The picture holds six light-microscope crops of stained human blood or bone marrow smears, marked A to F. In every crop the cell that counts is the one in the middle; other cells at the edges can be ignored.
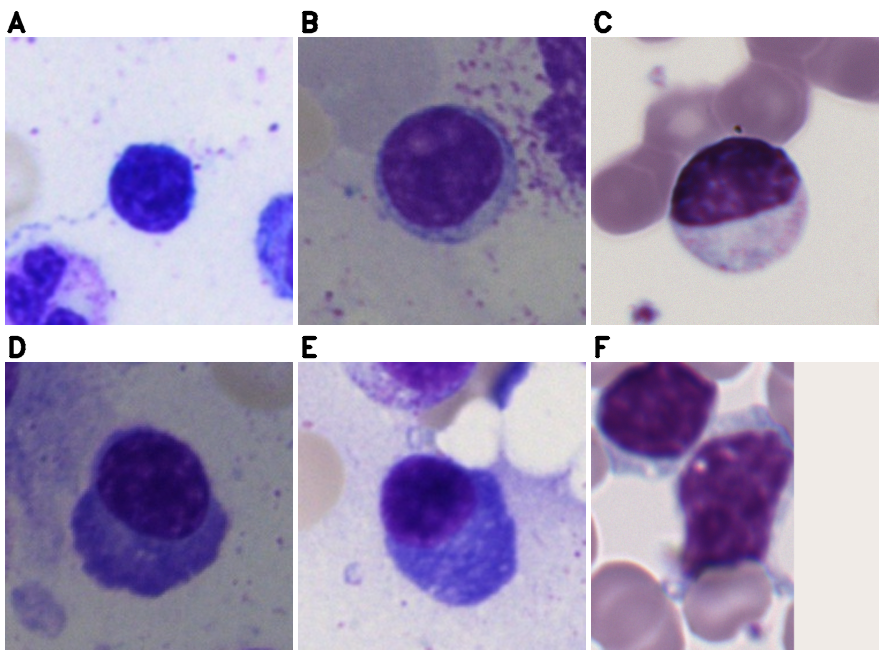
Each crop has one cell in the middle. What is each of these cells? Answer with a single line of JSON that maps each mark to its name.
{"A": "lymphocyte", "B": "lymphocyte", "C": "lymphocyte", "D": "plasma cell", "E": "plasma cell", "F": "lymphocyte"}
